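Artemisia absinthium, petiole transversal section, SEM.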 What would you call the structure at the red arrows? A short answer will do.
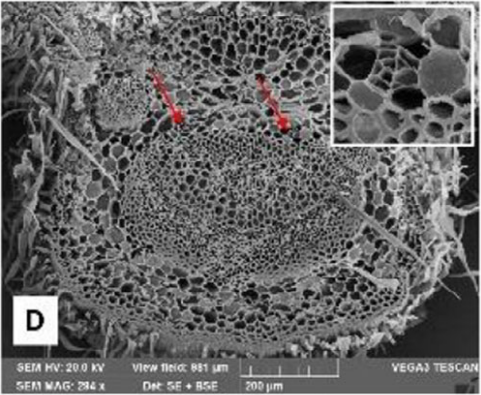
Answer: Secretory ducts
